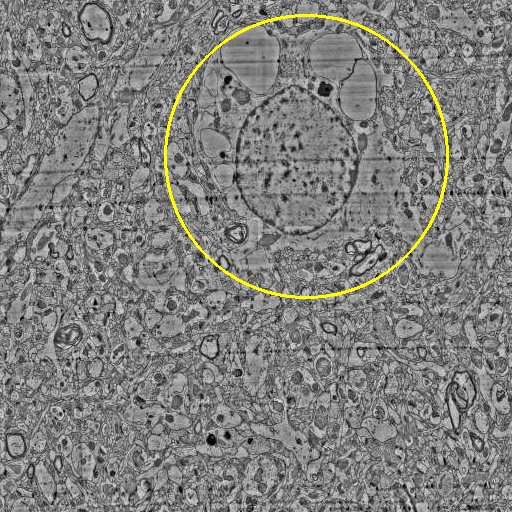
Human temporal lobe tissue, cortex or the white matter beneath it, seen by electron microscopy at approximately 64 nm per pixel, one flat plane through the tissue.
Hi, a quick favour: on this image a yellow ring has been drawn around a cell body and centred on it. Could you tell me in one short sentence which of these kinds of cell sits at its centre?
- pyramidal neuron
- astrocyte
The ring is centred on an astrocyte.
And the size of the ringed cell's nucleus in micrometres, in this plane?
In this plane the nucleus measures roughly 9 by 8 micrometers.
